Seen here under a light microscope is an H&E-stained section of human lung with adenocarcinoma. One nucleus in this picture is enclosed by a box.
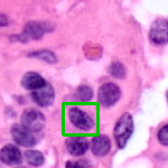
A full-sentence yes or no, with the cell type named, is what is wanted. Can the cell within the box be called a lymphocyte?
Yes, the cell within the box has been identified as a lymphocyte.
